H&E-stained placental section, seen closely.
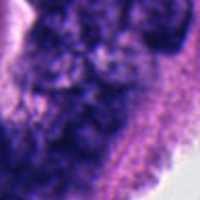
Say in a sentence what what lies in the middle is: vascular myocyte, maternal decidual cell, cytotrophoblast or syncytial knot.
This is a syncytial knot.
